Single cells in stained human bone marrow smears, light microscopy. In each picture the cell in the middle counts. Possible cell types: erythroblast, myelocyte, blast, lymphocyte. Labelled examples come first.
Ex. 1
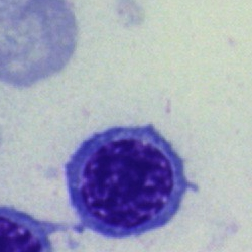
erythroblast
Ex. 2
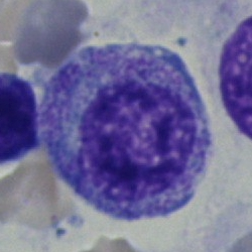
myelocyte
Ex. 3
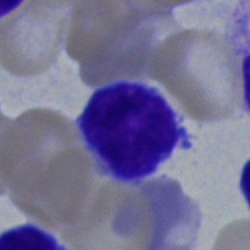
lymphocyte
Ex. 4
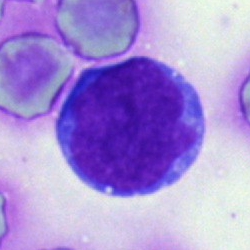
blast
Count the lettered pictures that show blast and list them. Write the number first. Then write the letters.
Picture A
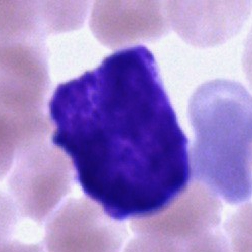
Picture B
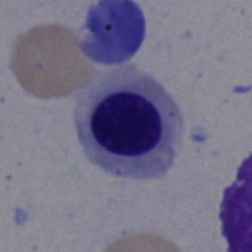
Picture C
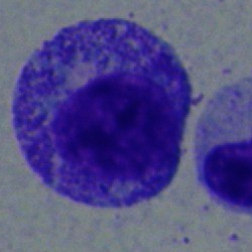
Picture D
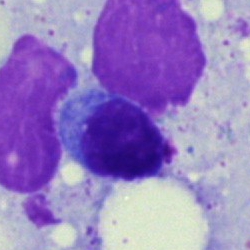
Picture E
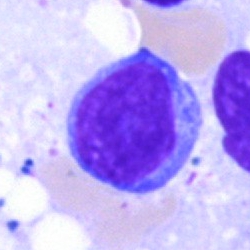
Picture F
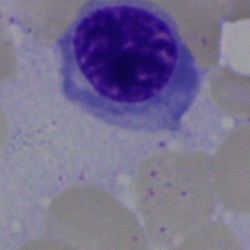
1, namely A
